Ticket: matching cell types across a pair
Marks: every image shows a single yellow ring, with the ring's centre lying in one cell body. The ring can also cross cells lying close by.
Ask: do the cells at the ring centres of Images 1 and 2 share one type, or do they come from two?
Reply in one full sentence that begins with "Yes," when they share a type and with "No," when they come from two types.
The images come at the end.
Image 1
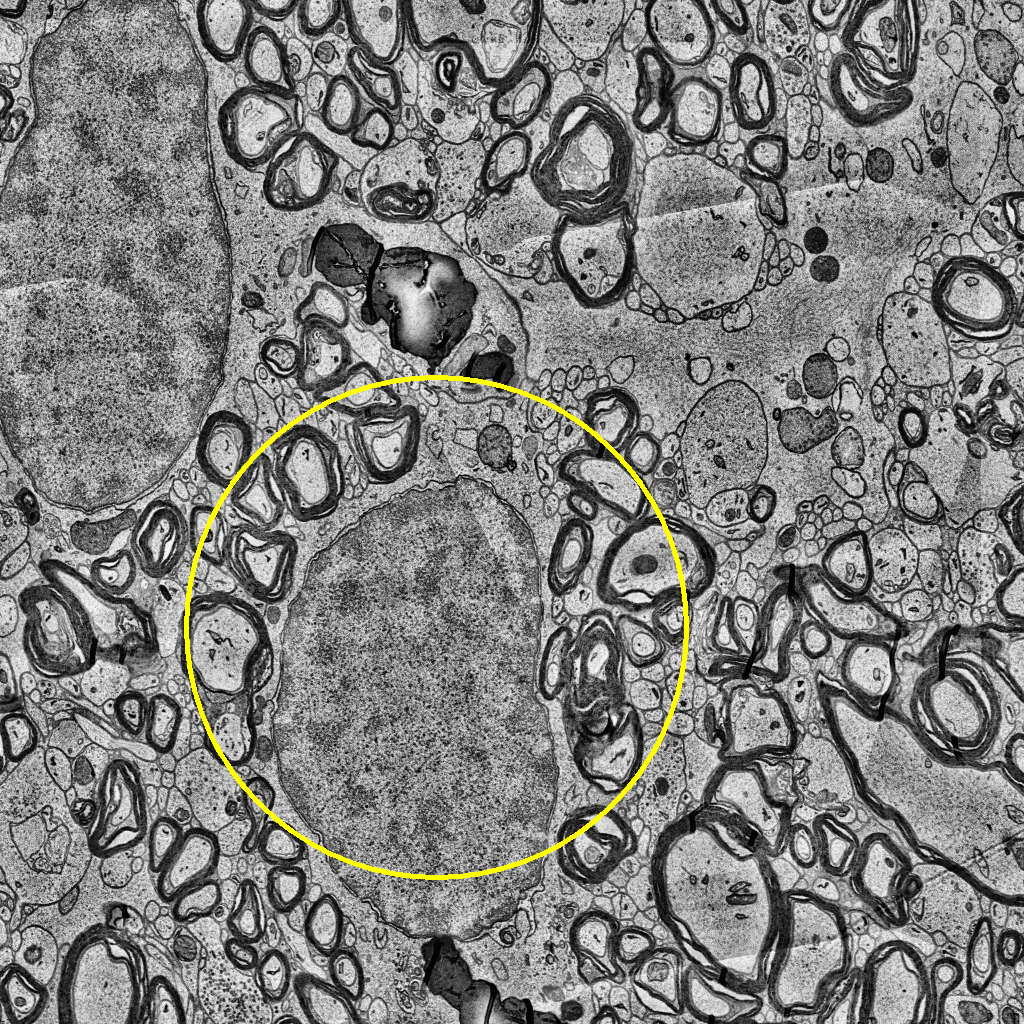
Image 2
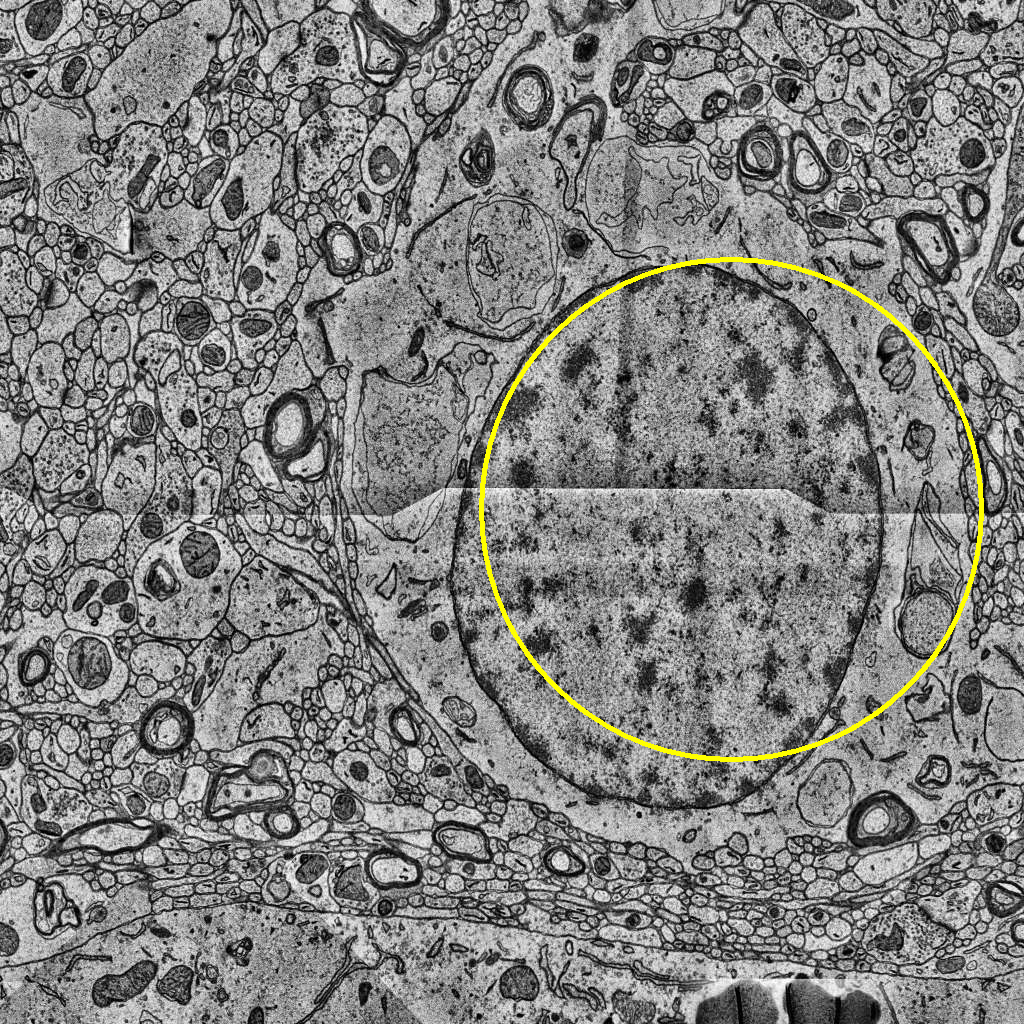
No, the cells at the centres of the rings in Image 1 and Image 2 come from two types.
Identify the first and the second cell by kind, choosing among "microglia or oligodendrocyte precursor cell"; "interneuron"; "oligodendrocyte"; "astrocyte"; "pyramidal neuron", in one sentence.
The two differ: the first cell is an oligodendrocyte and the second is an astrocyte.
